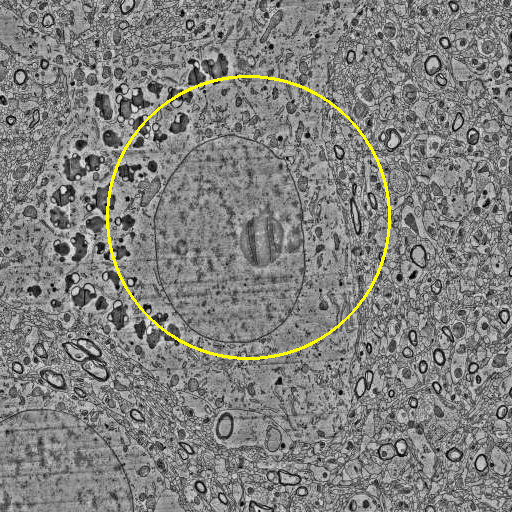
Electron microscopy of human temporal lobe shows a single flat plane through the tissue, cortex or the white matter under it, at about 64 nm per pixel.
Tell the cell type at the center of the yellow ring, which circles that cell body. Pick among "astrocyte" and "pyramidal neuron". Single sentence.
The ring is centered on the body of a pyramidal neuron.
